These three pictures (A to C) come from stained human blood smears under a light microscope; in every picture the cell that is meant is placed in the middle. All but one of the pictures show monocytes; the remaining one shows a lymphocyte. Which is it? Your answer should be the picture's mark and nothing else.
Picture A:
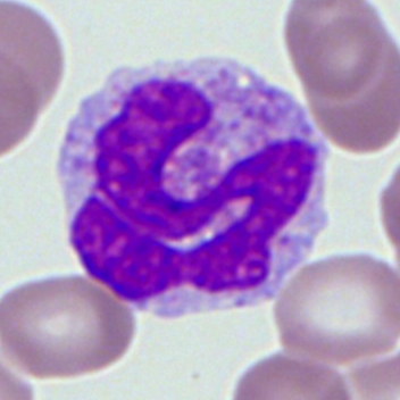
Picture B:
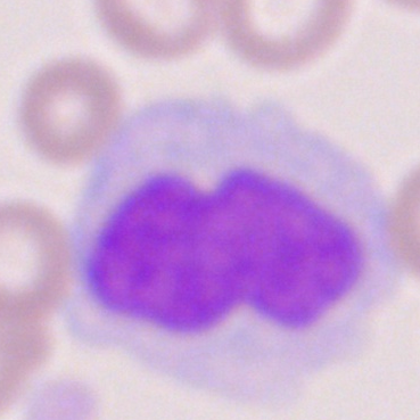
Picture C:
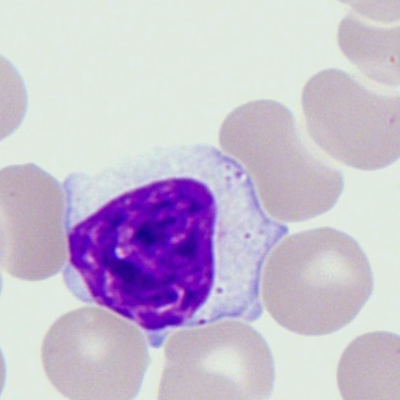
C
